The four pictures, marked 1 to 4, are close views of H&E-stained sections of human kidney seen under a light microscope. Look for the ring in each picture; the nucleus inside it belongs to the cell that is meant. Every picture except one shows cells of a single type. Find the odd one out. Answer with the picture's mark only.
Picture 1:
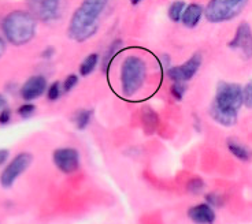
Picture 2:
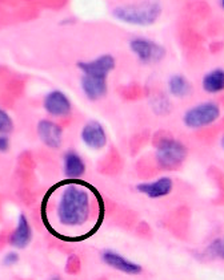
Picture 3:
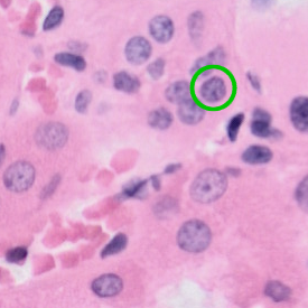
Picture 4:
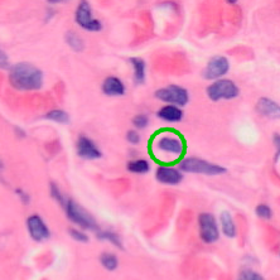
3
